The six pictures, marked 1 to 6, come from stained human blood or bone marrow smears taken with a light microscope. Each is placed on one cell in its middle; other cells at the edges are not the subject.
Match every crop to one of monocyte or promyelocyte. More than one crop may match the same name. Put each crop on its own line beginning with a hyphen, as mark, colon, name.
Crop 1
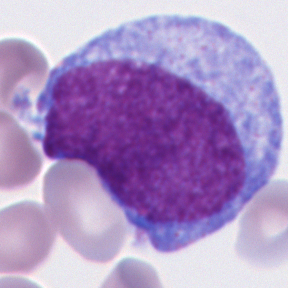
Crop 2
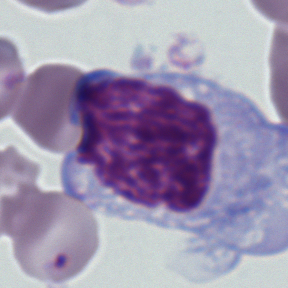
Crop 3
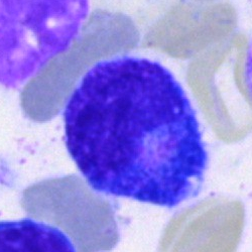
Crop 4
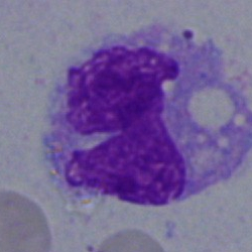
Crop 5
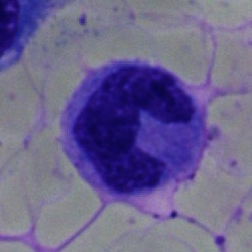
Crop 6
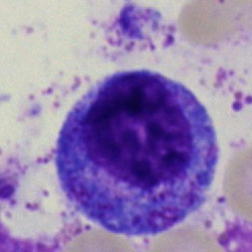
- 1: promyelocyte
- 2: monocyte
- 3: promyelocyte
- 4: monocyte
- 5: monocyte
- 6: promyelocyte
